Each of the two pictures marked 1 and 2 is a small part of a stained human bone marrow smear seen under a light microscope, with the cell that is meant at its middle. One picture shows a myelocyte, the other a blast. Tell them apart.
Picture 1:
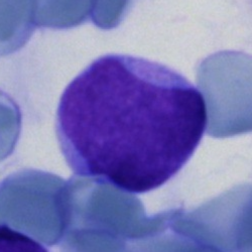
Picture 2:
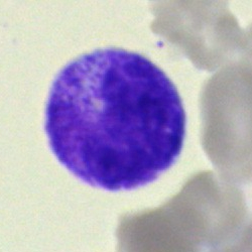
1: blast
2: myelocyte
